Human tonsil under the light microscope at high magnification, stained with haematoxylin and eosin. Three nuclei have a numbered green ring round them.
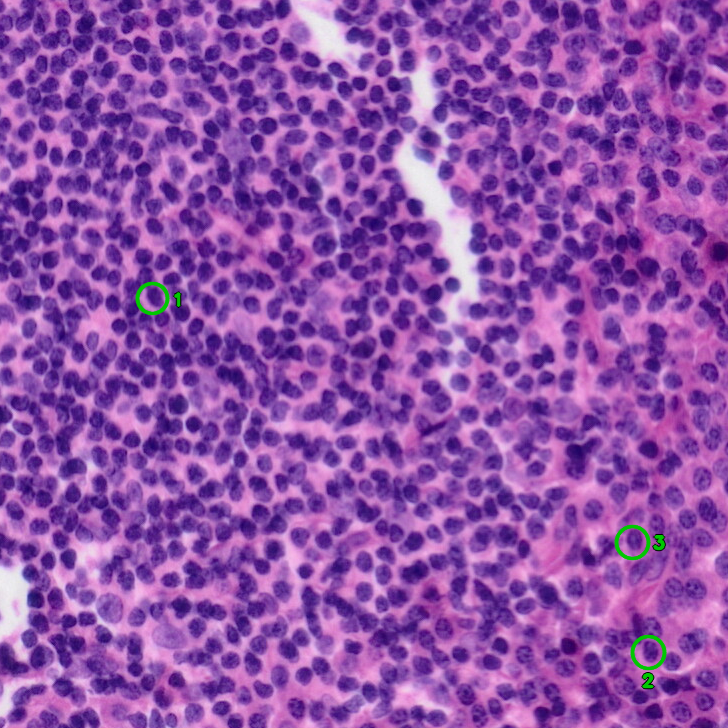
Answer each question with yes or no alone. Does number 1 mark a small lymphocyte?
yes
